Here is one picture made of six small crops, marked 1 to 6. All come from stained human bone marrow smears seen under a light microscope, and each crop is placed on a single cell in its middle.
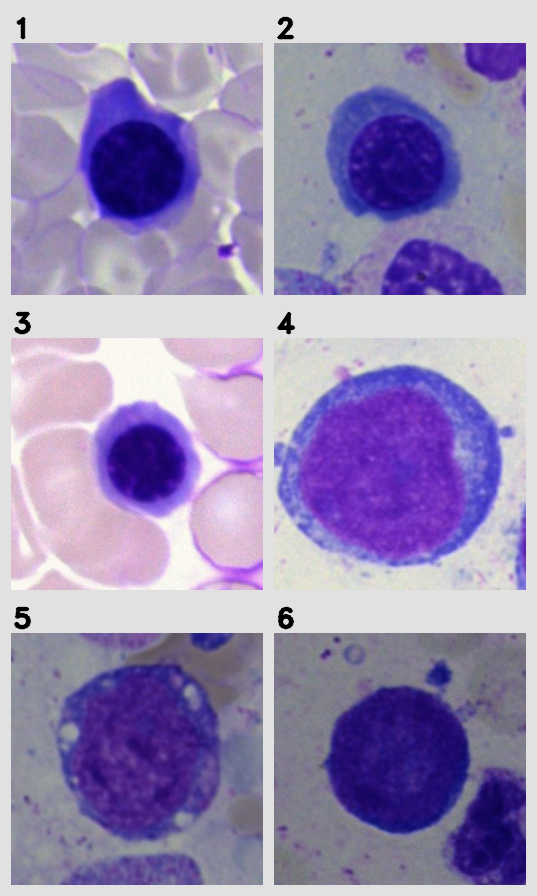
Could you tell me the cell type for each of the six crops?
1: erythroblast
2: erythroblast
3: erythroblast
4: blast
5: blast
6: blast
